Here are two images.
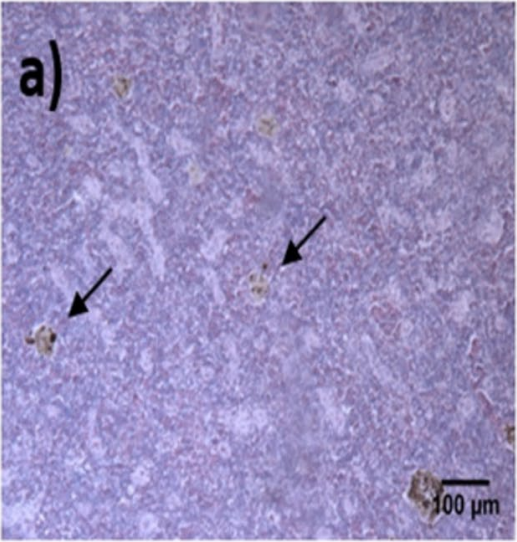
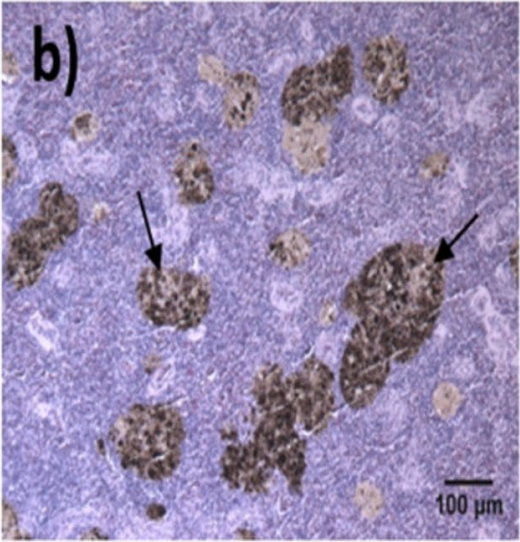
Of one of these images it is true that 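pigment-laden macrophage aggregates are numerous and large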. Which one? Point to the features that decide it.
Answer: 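Second image: many large dark brown-black pigmented aggregates fill much of the field. First image: only a few small pale tan to brown clusters are scattered in the tissue.
The second image.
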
